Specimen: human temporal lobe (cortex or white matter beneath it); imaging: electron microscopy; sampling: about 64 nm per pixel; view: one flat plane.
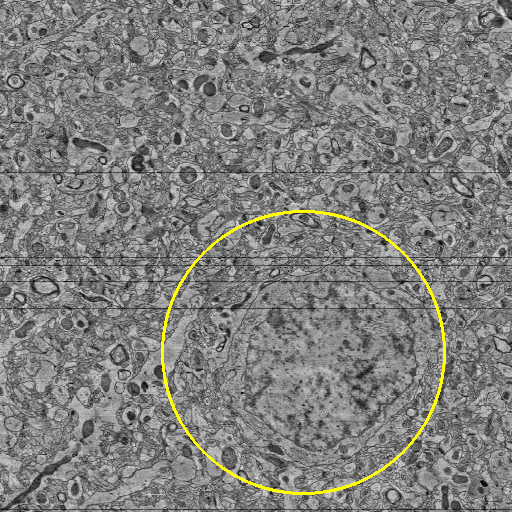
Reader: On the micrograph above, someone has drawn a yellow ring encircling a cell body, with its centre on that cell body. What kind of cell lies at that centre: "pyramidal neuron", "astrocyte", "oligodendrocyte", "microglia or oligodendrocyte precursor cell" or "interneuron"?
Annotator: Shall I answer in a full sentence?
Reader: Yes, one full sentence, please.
Here an interneuron sits at the centre of the yellow ring drawn on the micrograph.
